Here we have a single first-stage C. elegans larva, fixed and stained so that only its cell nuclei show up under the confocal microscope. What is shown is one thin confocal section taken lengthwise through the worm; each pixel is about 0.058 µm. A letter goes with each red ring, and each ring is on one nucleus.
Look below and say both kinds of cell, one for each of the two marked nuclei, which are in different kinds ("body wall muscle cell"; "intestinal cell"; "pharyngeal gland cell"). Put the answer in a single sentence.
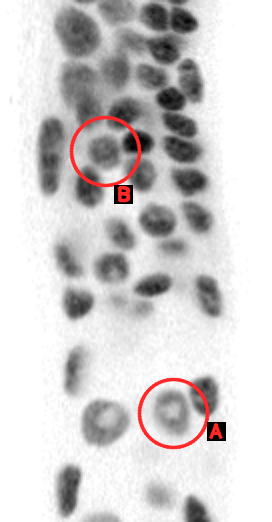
A is in an intestinal cell and B is in a pharyngeal gland cell.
